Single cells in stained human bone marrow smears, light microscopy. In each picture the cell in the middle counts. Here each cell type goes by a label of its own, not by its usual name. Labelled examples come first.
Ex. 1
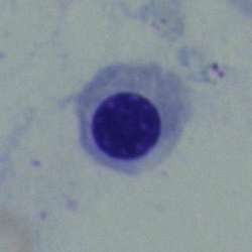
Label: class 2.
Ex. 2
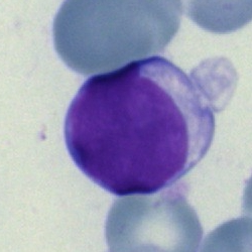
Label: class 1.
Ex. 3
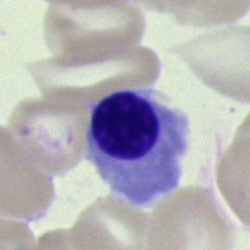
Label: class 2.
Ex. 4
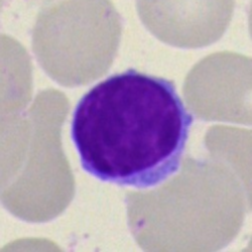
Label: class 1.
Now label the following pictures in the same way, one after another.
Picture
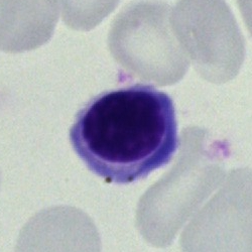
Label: class 2.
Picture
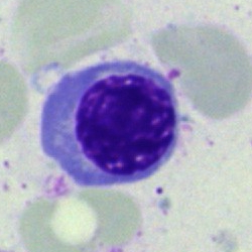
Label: class 2.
